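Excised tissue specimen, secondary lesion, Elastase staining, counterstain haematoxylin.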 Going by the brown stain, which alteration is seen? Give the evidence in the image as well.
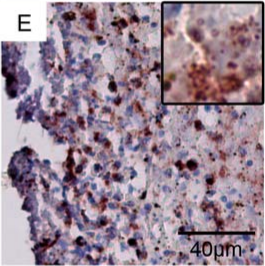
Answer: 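Neutrophilic debris. Numerous brown dots and fragments are scattered through disorganised tissue. Intact cell outlines are scarce among the brown granular material.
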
